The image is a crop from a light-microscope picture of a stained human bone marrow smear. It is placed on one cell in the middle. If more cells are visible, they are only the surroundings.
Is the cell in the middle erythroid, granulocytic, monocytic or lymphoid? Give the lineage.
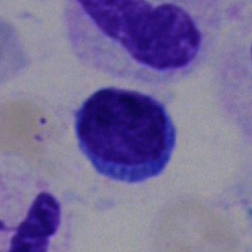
lymphoid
